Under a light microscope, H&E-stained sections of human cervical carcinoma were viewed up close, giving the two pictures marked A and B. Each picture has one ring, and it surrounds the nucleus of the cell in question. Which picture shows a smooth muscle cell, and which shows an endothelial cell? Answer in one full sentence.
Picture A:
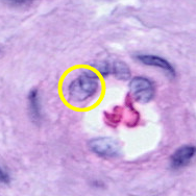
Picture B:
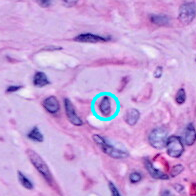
In picture A the cell is an endothelial cell; in picture B, a smooth muscle cell.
